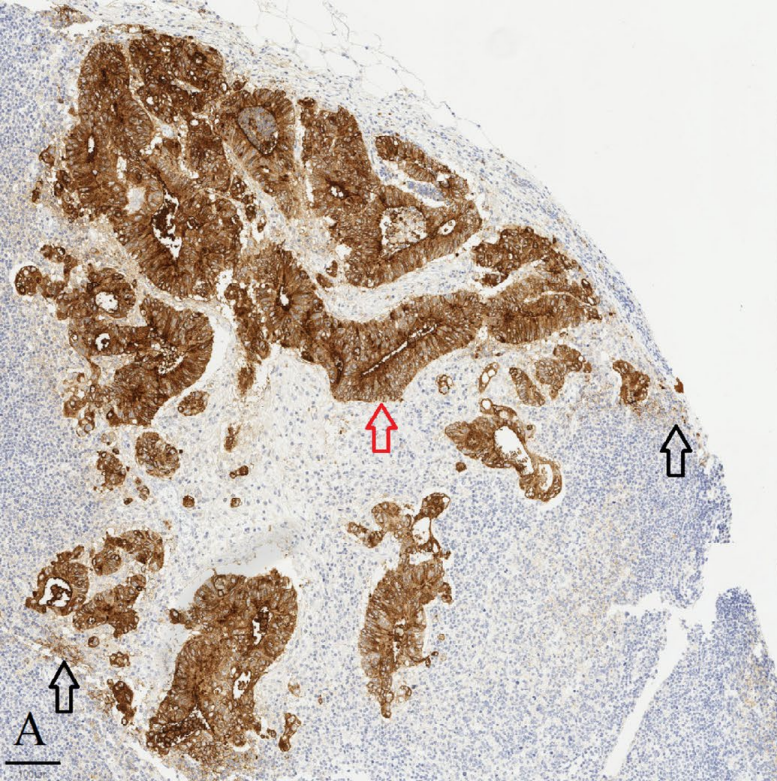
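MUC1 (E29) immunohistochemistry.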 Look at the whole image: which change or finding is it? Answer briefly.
Lymph node metastases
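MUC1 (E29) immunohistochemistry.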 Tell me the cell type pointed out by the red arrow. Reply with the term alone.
Carcinoma cells.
